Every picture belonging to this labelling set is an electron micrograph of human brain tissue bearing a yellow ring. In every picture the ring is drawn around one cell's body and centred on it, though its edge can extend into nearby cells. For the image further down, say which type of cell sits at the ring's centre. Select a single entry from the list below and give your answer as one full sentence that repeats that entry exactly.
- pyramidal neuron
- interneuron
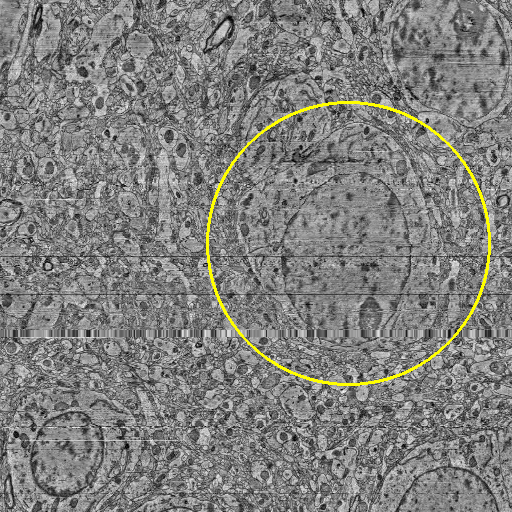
In the picture, a pyramidal neuron is the cell at the centre of the yellow ring.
